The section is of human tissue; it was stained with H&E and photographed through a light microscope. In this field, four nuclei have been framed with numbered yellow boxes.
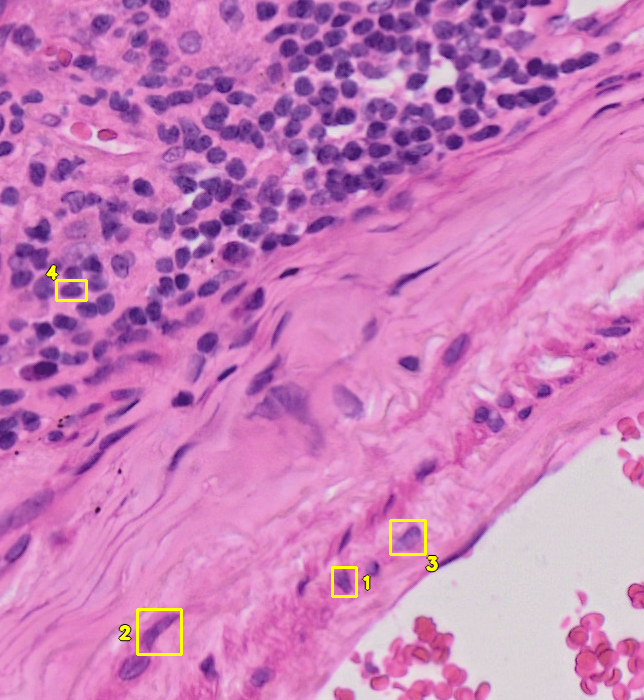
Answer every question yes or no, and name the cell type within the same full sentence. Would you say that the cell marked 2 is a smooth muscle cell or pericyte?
Yes, the cell sitting at number 2 is a smooth muscle cell or pericyte.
